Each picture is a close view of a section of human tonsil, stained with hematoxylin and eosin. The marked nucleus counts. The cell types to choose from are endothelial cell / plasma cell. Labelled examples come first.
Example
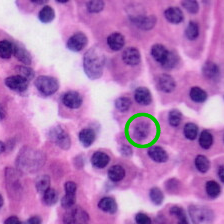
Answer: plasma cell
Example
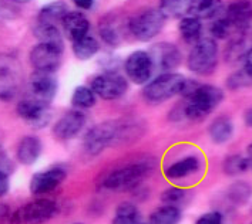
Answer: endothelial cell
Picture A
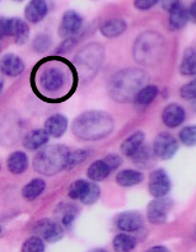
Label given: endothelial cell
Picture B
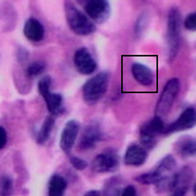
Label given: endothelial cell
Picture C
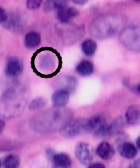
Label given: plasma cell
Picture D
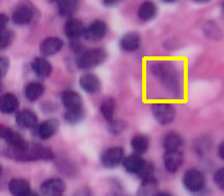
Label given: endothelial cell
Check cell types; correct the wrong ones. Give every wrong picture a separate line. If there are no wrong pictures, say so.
C: change plasma cell to endothelial cell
